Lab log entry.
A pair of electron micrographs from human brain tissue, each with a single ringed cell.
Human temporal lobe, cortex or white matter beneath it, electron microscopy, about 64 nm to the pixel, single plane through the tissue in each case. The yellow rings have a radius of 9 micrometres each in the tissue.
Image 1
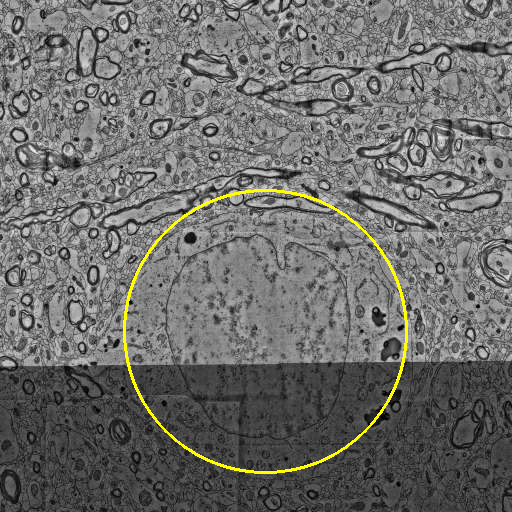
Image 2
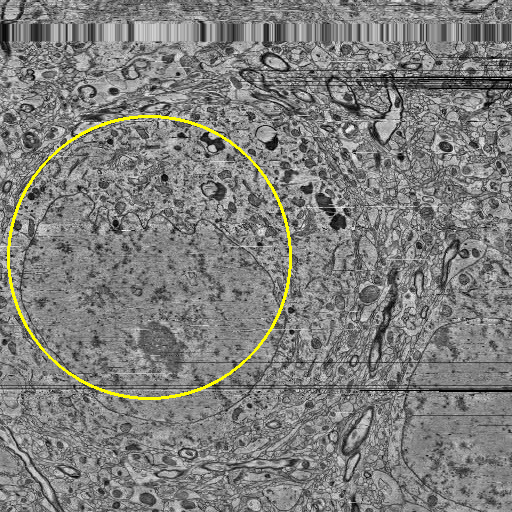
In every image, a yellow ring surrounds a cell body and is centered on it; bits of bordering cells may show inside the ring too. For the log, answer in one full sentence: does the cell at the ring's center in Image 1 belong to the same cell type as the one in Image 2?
Yes, the cells at the ring centers in Image 1 and Image 2 share one type.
